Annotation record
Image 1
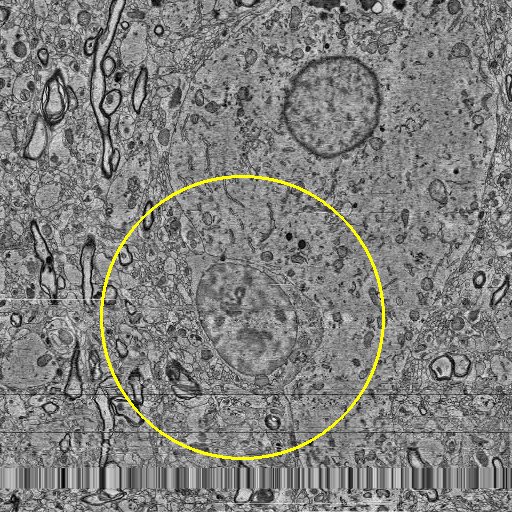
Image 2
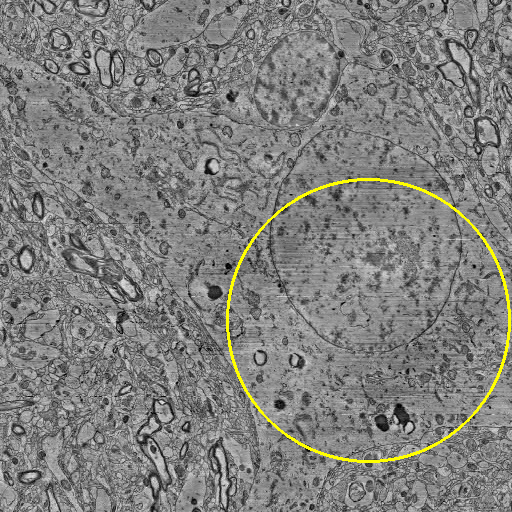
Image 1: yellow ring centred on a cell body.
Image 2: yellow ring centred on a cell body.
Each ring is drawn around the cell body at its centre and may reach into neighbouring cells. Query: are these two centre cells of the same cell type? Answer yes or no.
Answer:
no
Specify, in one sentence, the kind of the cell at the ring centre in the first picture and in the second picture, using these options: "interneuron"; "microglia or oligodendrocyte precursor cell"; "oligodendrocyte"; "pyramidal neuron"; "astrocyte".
So the first is an oligodendrocyte, the second a pyramidal neuron.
